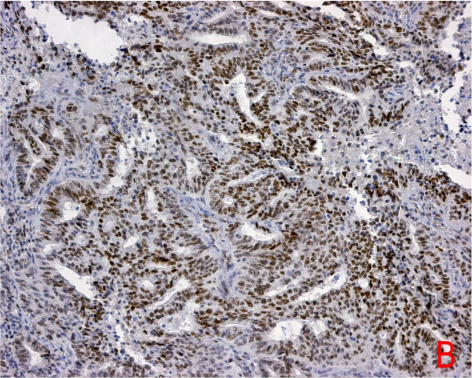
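Crowded, irregular glands of tumour epithelium fill the field, separated by thin strands of stroma. Most tumour cell nuclei are stained dark brown, while the stromal cells between the glands have pale blue nuclei. Small open lumens are scattered among the back-to-back glands. This is a glandular carcinoma with diffuse nuclear staining throughout the tumour cells.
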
